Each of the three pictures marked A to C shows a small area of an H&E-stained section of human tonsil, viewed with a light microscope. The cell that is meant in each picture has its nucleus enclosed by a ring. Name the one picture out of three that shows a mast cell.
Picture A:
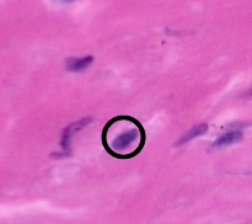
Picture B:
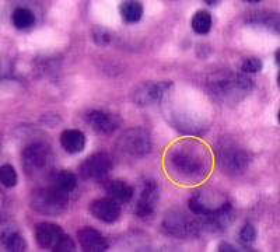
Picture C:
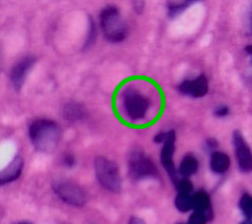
A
